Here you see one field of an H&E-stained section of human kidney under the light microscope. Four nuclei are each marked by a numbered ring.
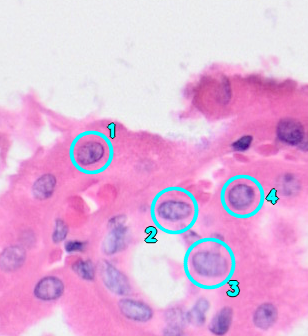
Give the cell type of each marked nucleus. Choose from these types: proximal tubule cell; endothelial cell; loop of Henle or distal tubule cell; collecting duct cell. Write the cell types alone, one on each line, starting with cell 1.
proximal tubule cell
collecting duct cell
collecting duct cell
proximal tubule cell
